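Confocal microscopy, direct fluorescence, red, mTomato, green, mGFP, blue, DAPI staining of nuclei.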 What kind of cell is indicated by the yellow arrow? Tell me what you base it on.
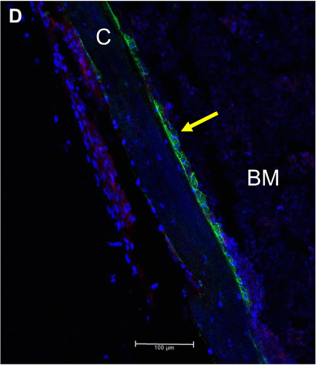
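A thin layer of green cells lines one surface of a long band of bone. The answer: osteoblast.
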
